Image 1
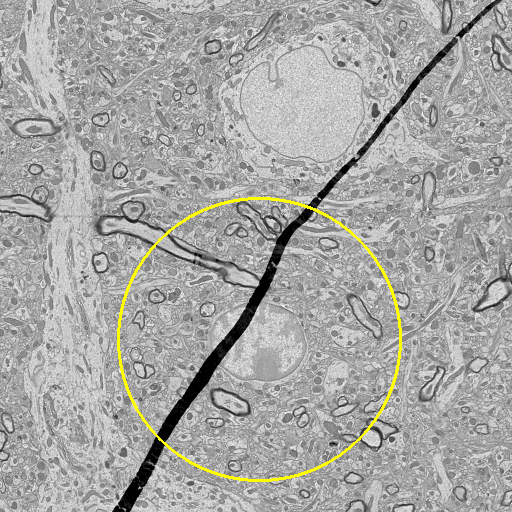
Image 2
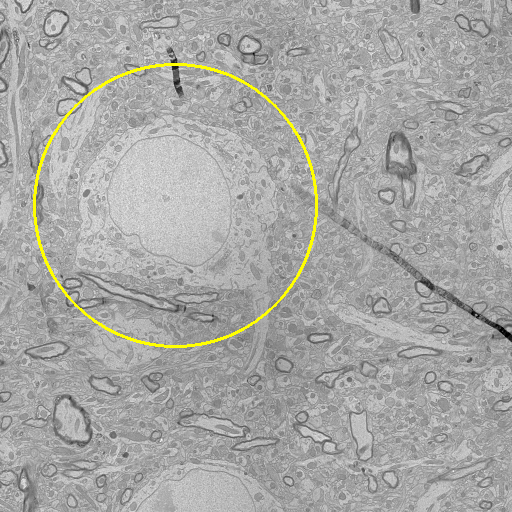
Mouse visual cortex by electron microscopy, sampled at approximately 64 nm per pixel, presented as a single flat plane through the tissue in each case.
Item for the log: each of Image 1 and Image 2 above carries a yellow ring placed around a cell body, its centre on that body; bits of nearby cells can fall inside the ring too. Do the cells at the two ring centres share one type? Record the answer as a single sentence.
No, the two cells at the ring centres in Image 1 and Image 2 are of two types.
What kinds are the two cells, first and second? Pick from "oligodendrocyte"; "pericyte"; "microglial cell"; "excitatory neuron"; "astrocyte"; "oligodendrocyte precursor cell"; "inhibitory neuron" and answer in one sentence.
The second picture holds an excitatory neuron in its ring, and the first holds an oligodendrocyte.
